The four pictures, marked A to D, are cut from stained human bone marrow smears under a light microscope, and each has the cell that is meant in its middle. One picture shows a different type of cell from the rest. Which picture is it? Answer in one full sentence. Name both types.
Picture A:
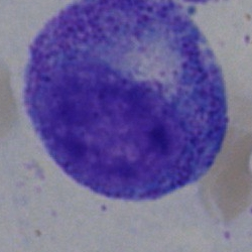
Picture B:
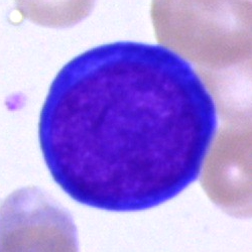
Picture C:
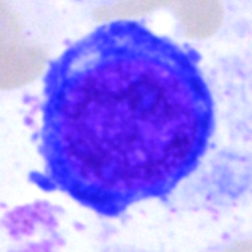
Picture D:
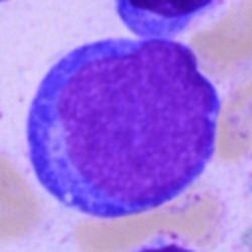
Picture A differs, because its cell is a promyelocyte and the rest are proerythroblasts.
